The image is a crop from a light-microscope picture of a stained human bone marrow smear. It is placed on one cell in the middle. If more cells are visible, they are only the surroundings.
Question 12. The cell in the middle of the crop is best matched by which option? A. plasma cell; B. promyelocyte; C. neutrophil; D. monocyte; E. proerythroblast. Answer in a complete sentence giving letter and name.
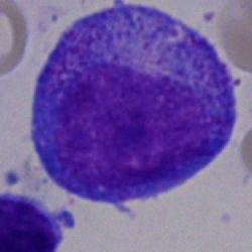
The correct option is B, as the central cell is a promyelocyte.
